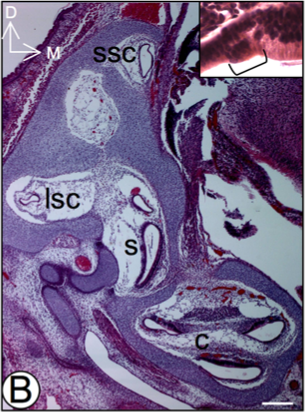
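Transverse section through the inner ear showing the fluid-filled ducts of the membranous labyrinth embedded in a dense, purple-staining surrounding capsule. Near the top a semicircular canal is cut in cross section; on the left another canal appears as an elongated lumen, and centrally the saccule forms a curved chamber. At lower right the cochlear duct is cut several times, each profile a lumen lined by thin epithelium within paler loose mesenchyme, enclosed by the darker capsule. Scattered red blood cells mark small vessels. The inset shows, at higher magnification, a thickened stretch of duct epithelium marked by a bracket.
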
